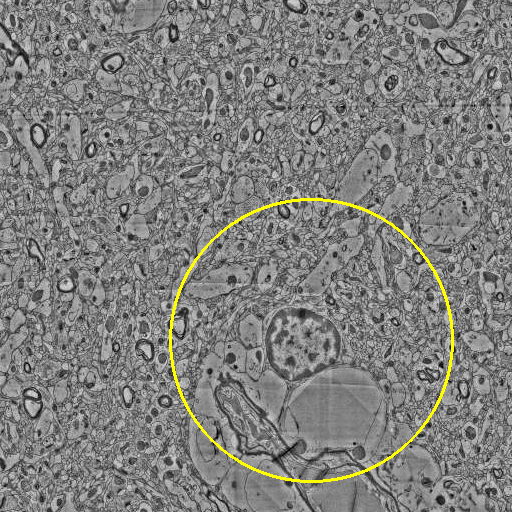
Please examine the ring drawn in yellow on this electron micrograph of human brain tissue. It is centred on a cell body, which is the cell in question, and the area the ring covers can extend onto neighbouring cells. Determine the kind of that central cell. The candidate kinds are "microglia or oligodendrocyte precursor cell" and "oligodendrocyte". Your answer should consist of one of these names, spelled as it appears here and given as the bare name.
microglia or oligodendrocyte precursor cell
